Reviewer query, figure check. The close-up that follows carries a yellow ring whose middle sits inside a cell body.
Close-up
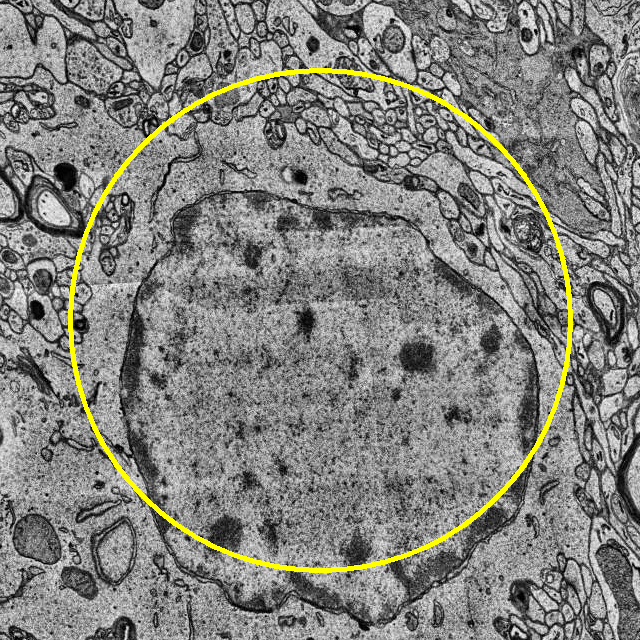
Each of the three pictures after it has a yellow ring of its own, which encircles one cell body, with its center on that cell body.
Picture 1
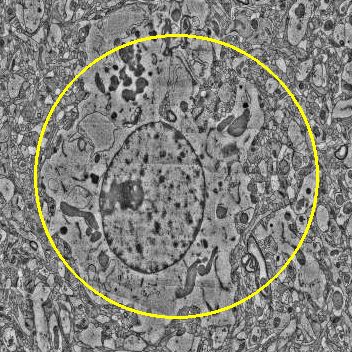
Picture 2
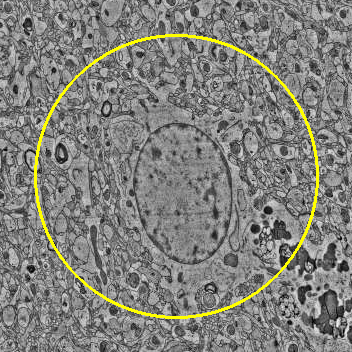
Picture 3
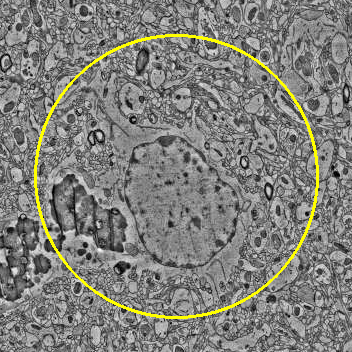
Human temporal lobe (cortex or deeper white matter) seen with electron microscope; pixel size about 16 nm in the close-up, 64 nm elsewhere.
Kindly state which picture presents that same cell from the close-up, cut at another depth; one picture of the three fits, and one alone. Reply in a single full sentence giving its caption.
The cell seen up close is the one ringed within Picture 3.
